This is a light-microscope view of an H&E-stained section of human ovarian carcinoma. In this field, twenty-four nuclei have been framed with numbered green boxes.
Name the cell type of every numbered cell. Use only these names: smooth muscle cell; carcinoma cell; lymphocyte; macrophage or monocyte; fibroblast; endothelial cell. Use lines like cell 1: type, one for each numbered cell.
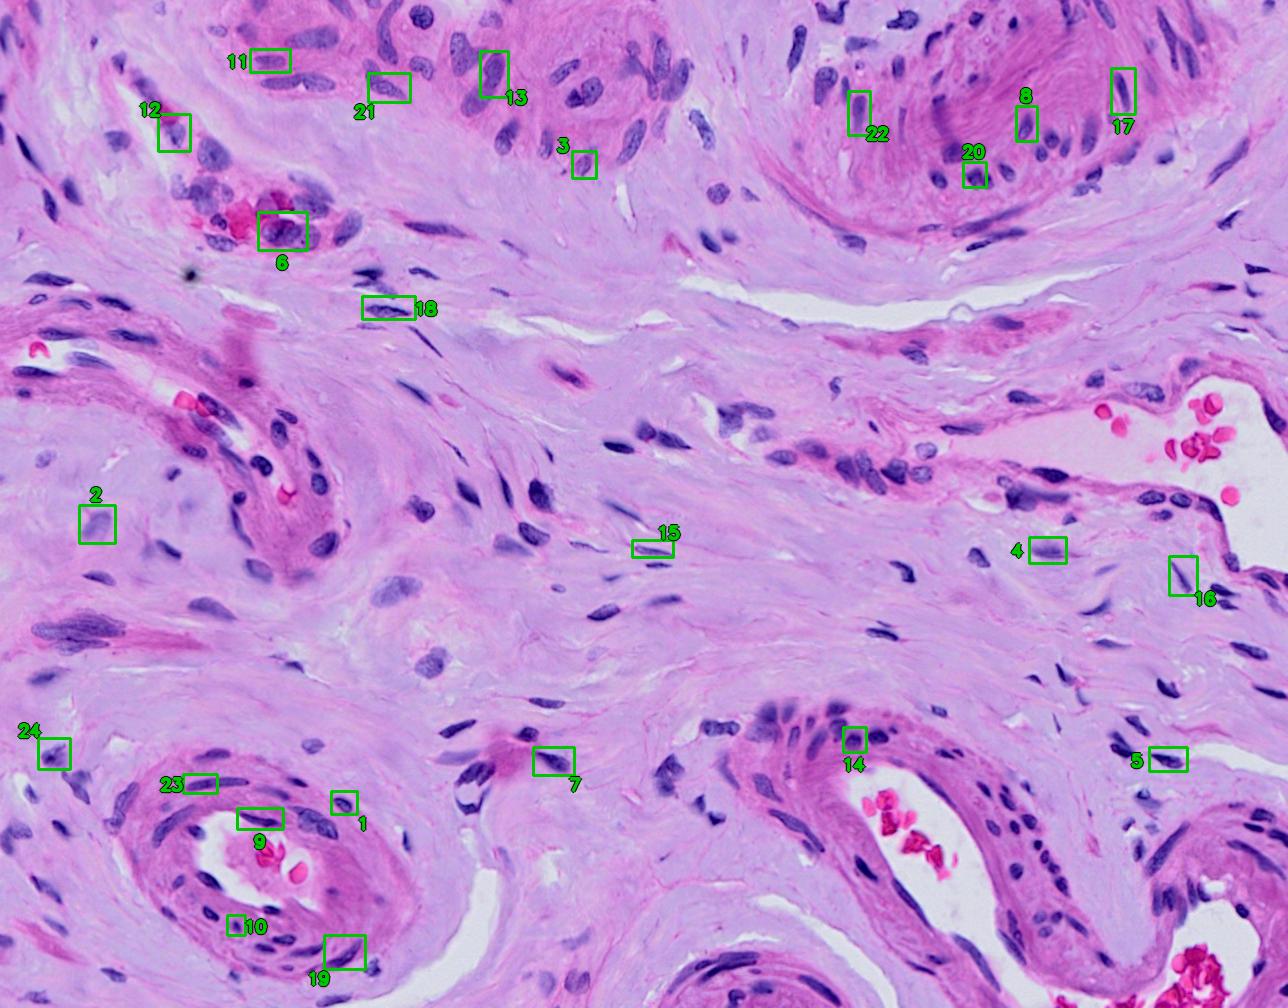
cell 1: smooth muscle cell
cell 2: fibroblast
cell 3: smooth muscle cell
cell 4: fibroblast
cell 5: fibroblast
cell 6: endothelial cell
cell 7: fibroblast
cell 8: smooth muscle cell
cell 9: endothelial cell
cell 10: smooth muscle cell
cell 11: smooth muscle cell
cell 12: endothelial cell
cell 13: smooth muscle cell
cell 14: smooth muscle cell
cell 15: fibroblast
cell 16: fibroblast
cell 17: smooth muscle cell
cell 18: fibroblast
cell 19: smooth muscle cell
cell 20: smooth muscle cell
cell 21: smooth muscle cell
cell 22: smooth muscle cell
cell 23: smooth muscle cell
cell 24: fibroblast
